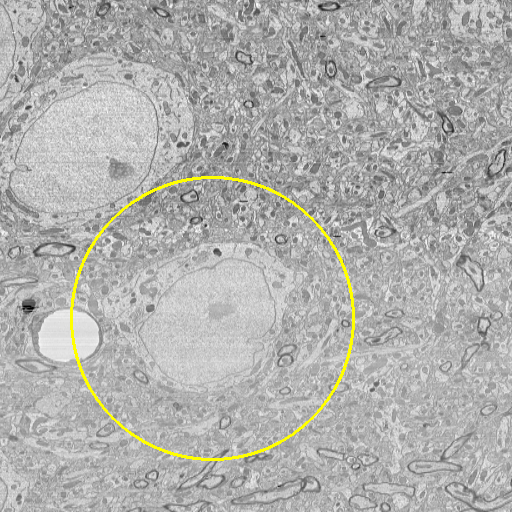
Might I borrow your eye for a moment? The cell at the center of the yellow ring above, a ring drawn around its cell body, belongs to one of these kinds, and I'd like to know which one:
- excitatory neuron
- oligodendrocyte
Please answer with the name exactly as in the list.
excitatory neuron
